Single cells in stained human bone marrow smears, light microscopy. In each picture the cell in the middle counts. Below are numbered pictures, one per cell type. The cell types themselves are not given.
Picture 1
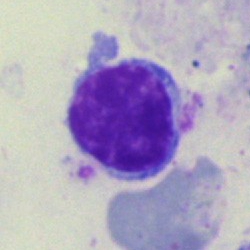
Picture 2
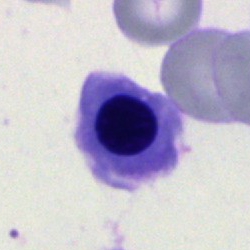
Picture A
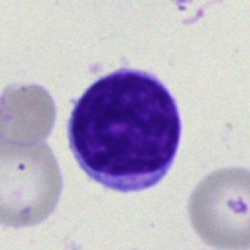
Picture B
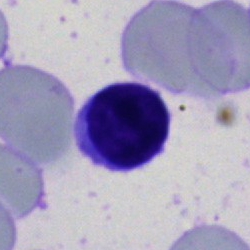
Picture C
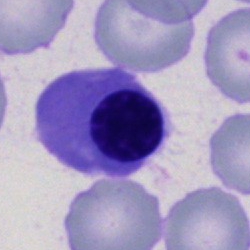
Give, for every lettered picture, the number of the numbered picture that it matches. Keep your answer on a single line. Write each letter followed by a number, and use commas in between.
A 1, B 1, C 2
